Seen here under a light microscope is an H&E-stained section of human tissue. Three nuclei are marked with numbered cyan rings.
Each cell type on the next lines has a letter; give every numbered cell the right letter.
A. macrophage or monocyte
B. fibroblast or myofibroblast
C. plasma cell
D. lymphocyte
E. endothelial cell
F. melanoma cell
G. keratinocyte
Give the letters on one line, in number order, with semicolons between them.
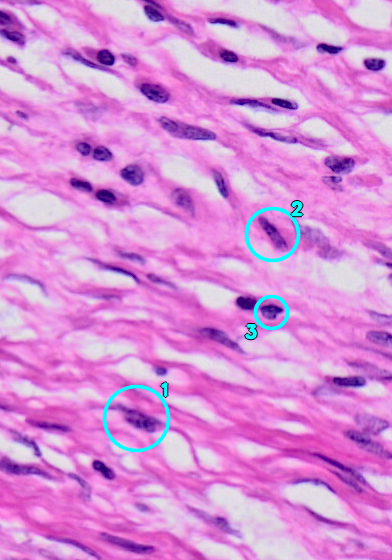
B; A; D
